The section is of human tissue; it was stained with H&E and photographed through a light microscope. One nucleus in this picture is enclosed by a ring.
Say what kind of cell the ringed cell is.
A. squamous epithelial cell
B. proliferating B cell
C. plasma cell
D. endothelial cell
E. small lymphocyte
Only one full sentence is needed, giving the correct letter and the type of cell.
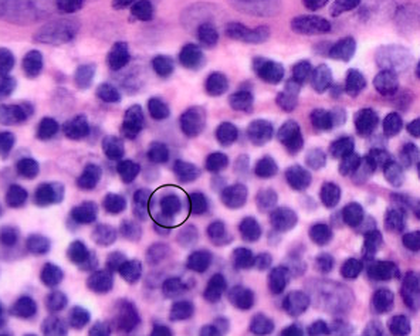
It is correct to say that the ringed cell is a small lymphocyte, as option E does.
